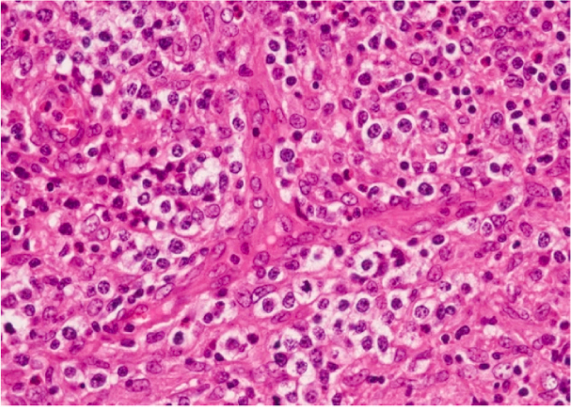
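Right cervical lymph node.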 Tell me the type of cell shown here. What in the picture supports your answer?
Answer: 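Many cells have abundant pale to clear cytoplasm. These cells have round to oval nuclei with visible nucleoli. They lie in sheets on either side of pink fibrous bands.
Conclusion: pale/clear cells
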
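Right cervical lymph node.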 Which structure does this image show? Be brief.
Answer: High endothelial venules.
